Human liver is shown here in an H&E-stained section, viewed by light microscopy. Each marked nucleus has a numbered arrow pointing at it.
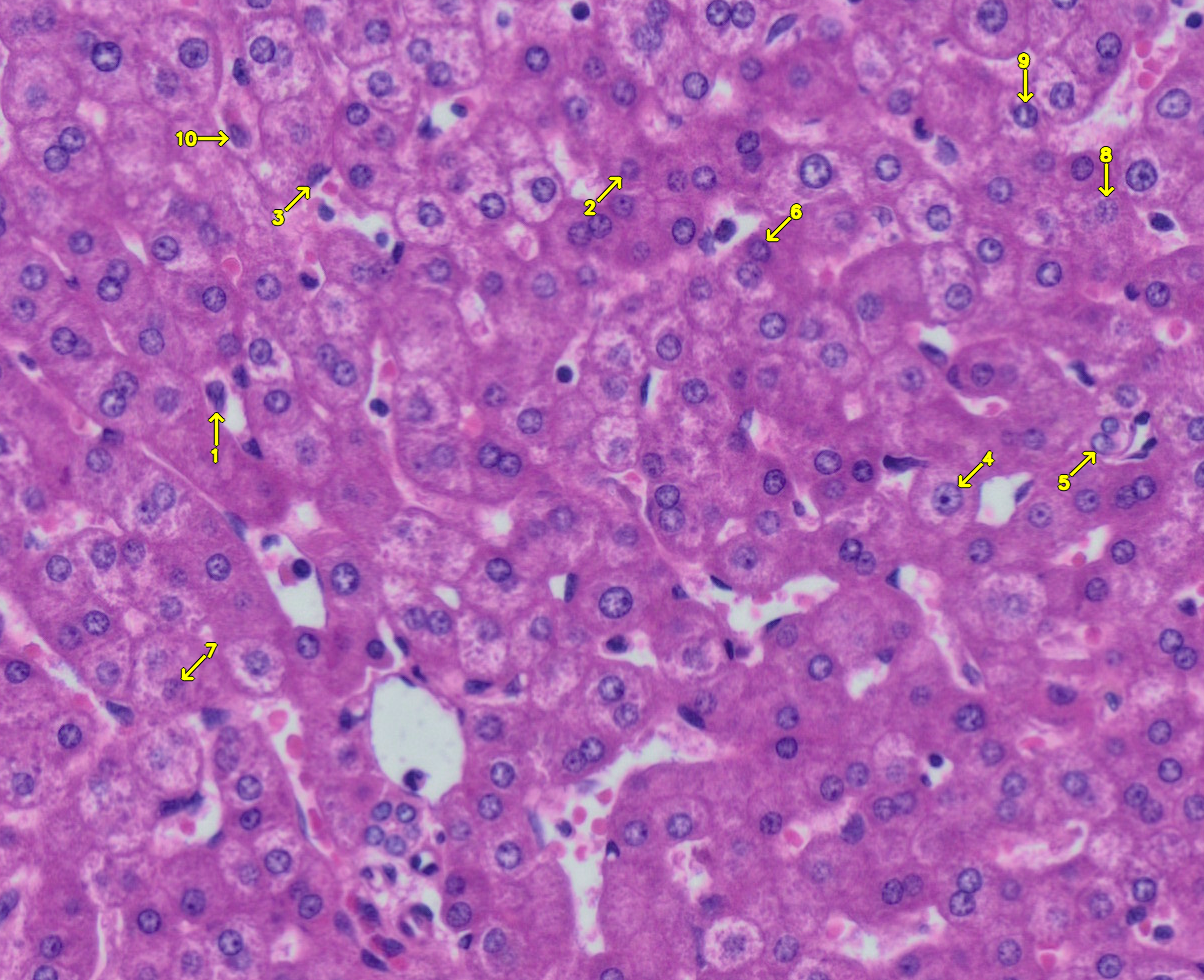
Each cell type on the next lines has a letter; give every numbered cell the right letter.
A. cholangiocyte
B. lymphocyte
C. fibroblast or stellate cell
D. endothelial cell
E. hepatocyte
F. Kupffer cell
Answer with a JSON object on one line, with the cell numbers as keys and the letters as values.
{"1": "F", "2": "E", "3": "D", "4": "E", "5": "A", "6": "E", "7": "E", "8": "E", "9": "E", "10": "F"}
